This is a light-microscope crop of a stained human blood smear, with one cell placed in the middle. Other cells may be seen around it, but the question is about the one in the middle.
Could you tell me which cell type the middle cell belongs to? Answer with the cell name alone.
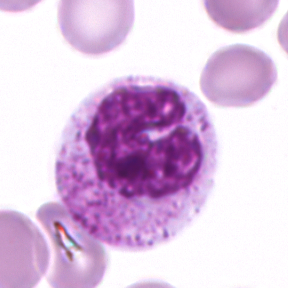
band neutrophil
